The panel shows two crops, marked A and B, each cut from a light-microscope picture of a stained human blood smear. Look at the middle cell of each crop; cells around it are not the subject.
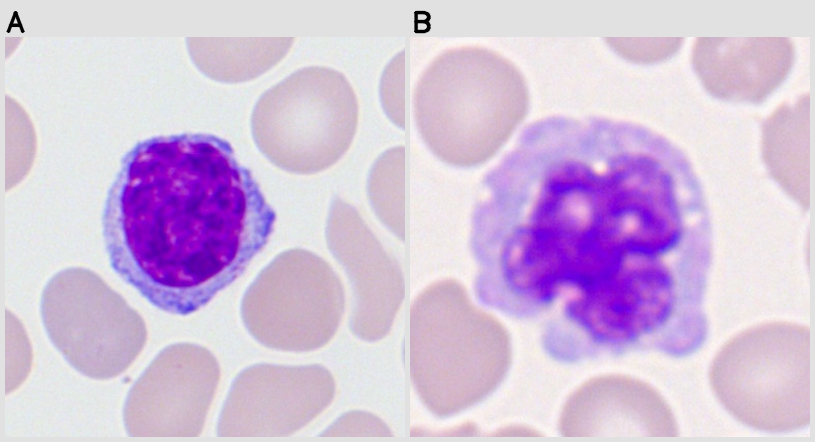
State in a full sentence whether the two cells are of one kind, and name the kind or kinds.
No, the assignment should read crop A, a lymphocyte; crop B, a monocyte.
